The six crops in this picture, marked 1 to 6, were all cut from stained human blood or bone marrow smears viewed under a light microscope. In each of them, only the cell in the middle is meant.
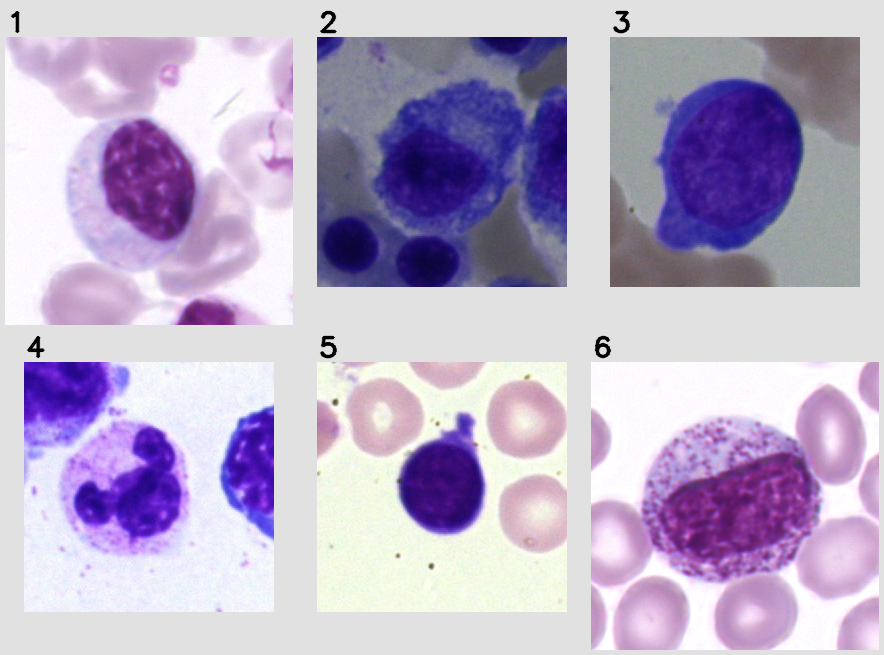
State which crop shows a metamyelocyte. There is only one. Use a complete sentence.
Crop 1 is the crop containing a metamyelocyte.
